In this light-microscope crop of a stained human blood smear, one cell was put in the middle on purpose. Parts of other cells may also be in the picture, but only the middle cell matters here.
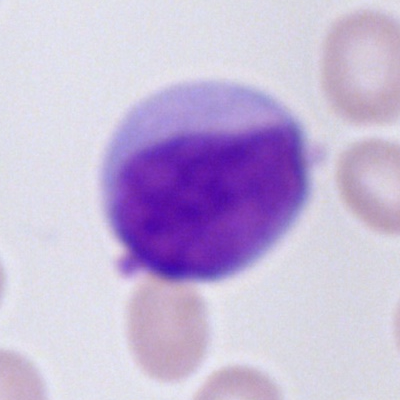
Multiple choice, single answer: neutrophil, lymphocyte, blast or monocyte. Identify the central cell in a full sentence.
What sits at the centre of this crop is a blast.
